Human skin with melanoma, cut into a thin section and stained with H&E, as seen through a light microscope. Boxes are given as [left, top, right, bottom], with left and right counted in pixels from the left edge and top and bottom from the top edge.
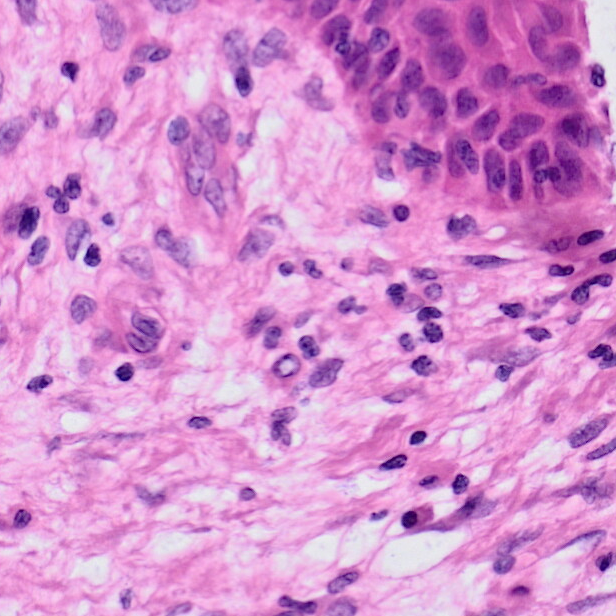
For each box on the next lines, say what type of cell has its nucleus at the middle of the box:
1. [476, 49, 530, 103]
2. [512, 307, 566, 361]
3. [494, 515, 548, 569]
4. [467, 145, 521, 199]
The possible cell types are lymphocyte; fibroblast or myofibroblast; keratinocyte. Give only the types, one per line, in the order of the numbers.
keratinocyte
lymphocyte
fibroblast or myofibroblast
keratinocyte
